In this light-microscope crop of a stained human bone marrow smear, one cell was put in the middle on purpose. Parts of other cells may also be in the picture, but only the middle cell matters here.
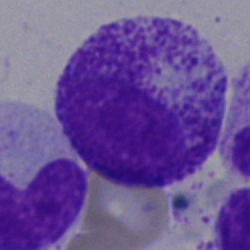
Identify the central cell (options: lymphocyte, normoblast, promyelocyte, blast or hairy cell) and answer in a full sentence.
The identification for the central cell is a promyelocyte.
